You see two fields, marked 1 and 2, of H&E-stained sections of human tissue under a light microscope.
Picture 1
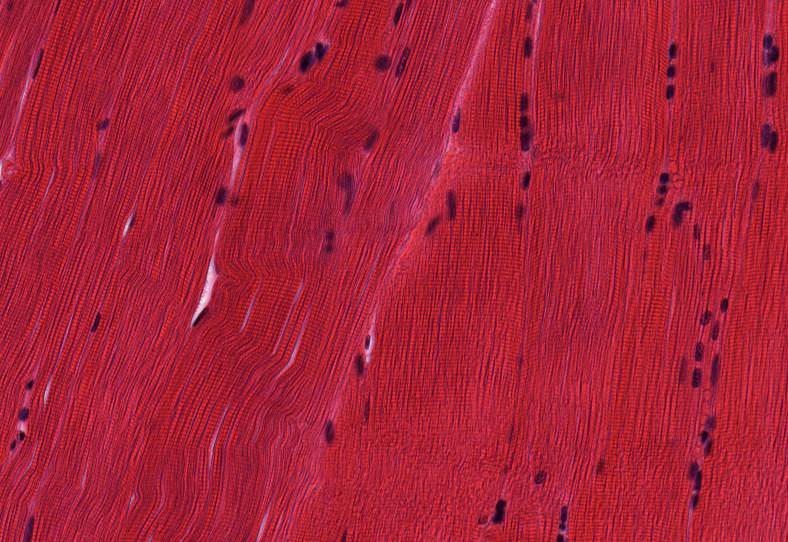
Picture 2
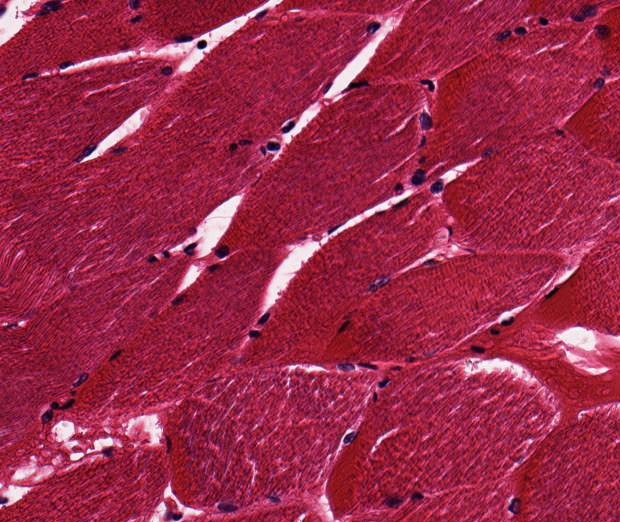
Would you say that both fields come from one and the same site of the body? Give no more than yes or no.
yes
